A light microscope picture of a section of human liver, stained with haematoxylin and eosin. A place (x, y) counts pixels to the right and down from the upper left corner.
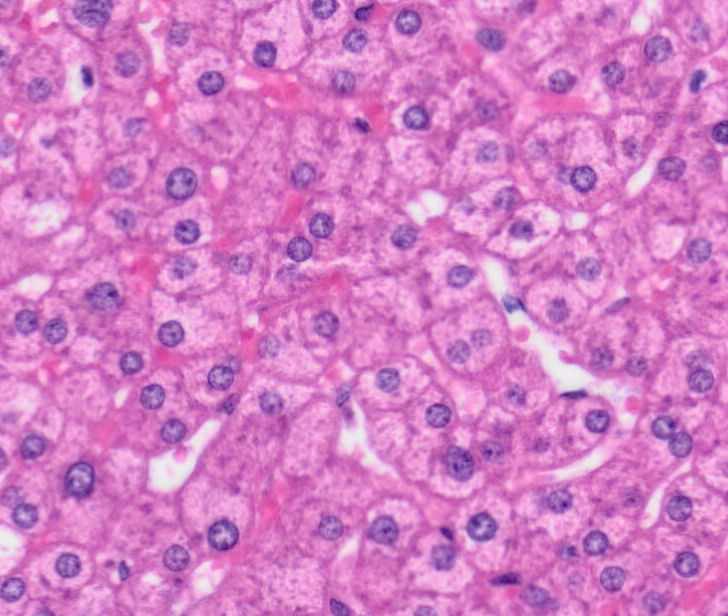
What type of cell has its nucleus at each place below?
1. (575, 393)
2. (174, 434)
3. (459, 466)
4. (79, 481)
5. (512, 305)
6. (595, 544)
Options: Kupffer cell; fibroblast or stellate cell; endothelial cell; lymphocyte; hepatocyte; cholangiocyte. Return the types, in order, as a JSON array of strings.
["endothelial cell", "hepatocyte", "hepatocyte", "hepatocyte", "endothelial cell", "hepatocyte"]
